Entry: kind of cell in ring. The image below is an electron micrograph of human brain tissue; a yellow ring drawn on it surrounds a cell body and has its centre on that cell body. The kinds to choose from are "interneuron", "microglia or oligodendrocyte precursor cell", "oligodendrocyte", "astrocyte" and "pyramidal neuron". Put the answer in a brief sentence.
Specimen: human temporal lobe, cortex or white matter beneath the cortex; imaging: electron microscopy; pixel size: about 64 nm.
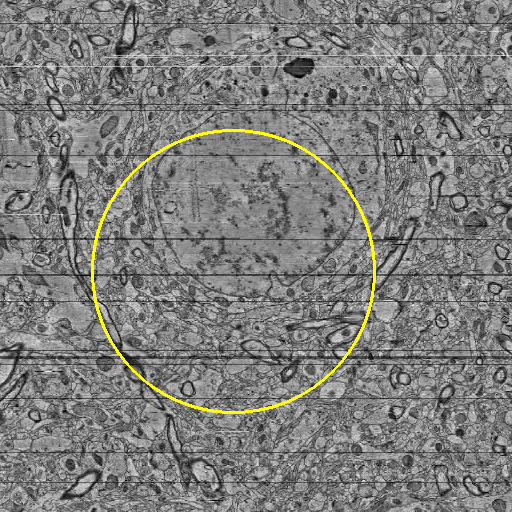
The ring has been drawn around a pyramidal neuron.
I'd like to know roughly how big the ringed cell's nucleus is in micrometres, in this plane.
The nucleus of the ringed cell is approximately 13 micrometres across in this plane.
